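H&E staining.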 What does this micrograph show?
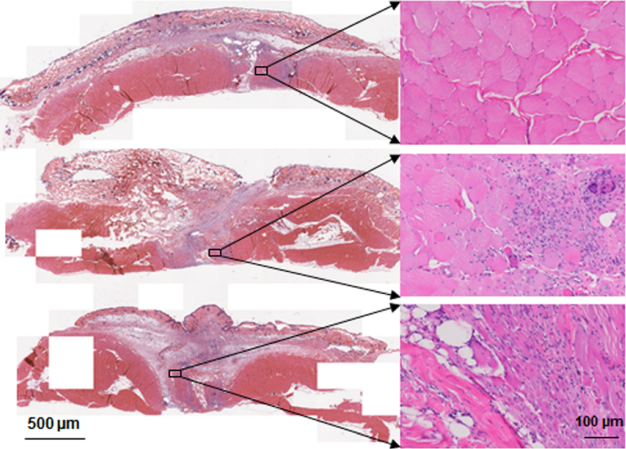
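Whole cross-sections of skin and the skeletal muscle beneath it are shown with enlarged views. The muscle fibres are pink and polygonal in cross-section and lie packed in bundles. In some enlarged views, dense clusters of small, dark purple nuclei fill the spaces between the fibres. In another, clear rounded vacuoles lie among elongated pink fibres. At the middle of the lower sections the muscle band is interrupted by paler, loosely arranged tissue.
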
